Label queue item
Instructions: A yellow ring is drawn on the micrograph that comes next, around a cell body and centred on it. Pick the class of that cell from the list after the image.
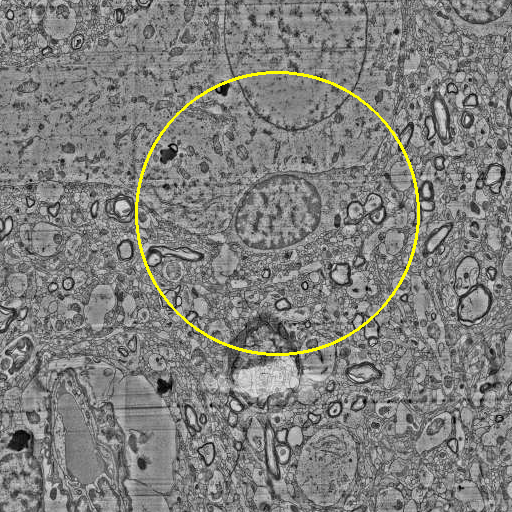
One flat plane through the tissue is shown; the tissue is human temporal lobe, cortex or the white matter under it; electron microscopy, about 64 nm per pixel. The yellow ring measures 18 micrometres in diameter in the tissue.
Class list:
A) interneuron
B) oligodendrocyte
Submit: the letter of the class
B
